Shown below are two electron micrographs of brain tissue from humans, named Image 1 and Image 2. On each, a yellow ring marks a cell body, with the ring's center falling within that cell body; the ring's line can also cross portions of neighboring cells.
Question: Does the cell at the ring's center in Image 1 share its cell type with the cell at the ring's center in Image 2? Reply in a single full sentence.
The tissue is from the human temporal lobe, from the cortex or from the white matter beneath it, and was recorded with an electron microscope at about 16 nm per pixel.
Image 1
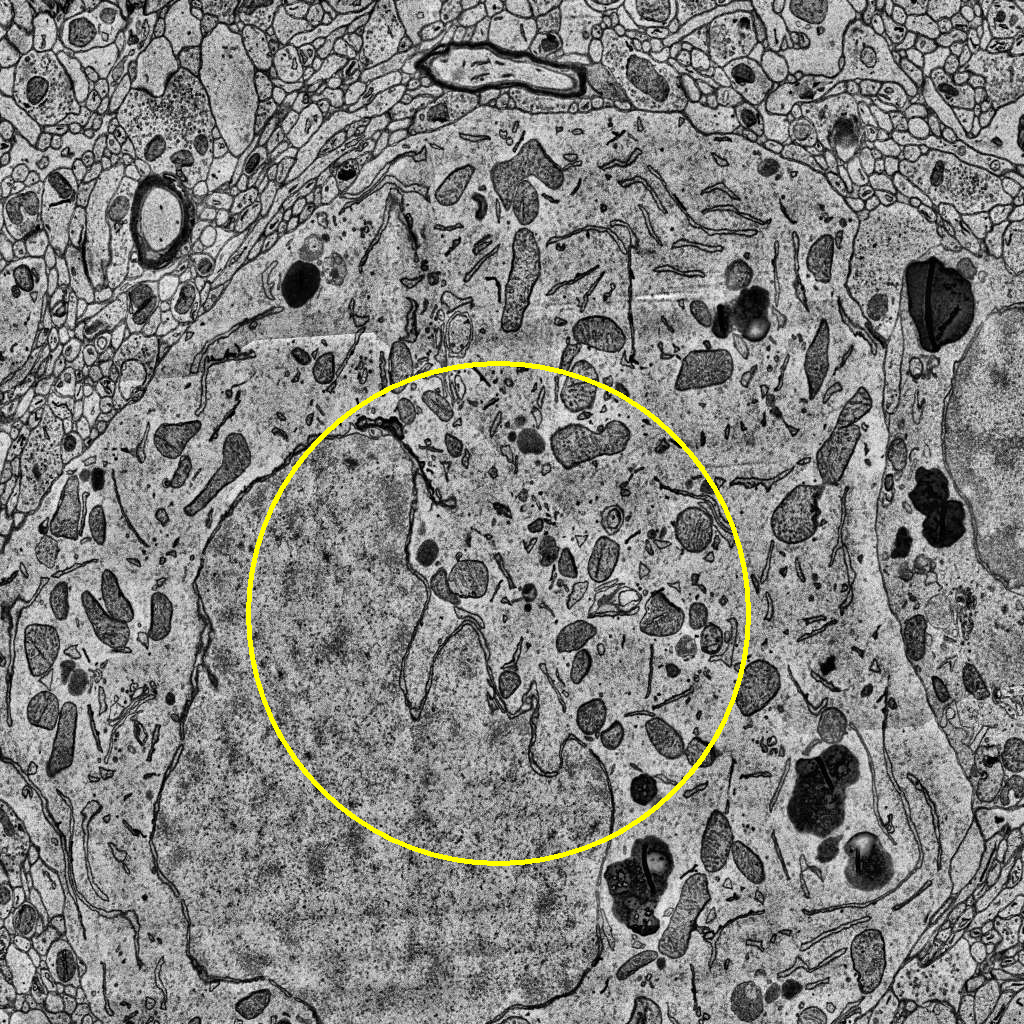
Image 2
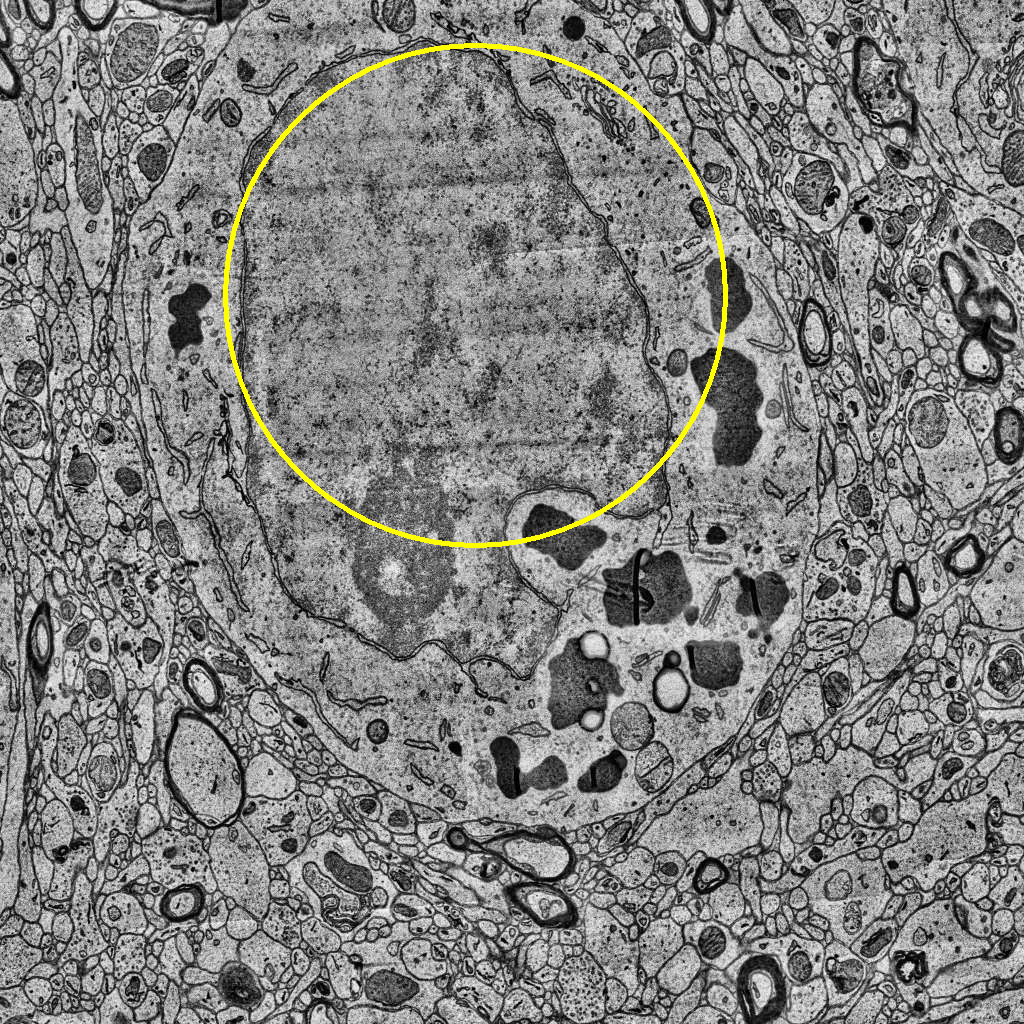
Yes, the two cells at the ring centers, in Image 1 and Image 2, share one cell type.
